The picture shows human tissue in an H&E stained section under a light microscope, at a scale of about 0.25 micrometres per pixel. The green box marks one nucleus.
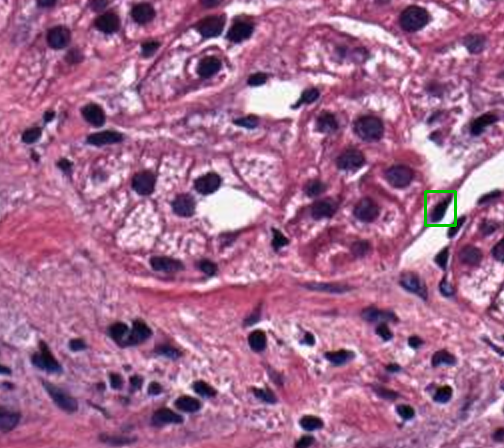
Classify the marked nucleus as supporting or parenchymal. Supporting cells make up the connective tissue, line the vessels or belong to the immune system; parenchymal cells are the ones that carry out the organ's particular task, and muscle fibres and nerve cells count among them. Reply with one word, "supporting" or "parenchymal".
supporting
